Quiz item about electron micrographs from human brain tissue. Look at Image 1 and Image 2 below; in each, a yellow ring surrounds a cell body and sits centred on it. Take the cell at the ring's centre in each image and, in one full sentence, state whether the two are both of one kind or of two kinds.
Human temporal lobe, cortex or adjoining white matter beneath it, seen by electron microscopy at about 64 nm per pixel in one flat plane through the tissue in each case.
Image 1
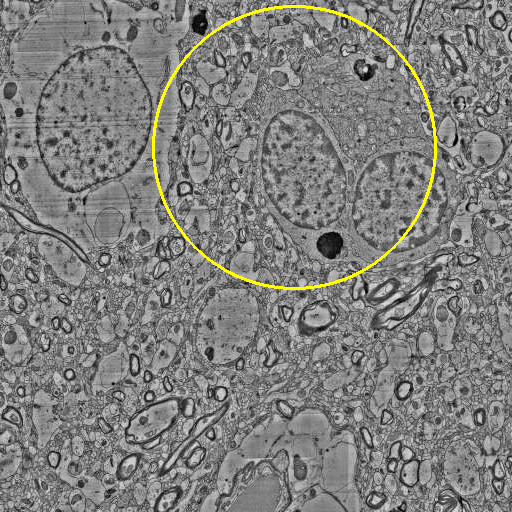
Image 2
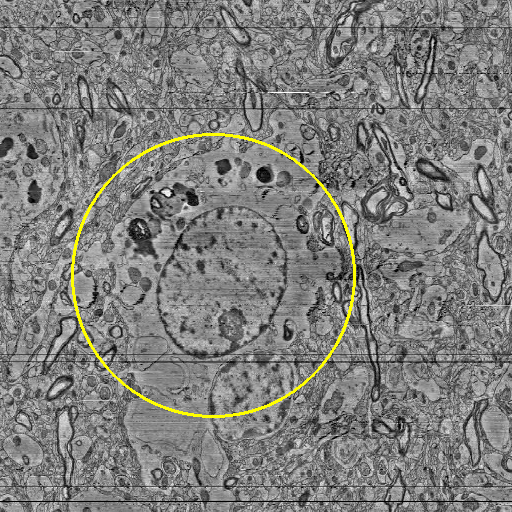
In Image 1 and Image 2, the cells at the ring centres are of two kinds.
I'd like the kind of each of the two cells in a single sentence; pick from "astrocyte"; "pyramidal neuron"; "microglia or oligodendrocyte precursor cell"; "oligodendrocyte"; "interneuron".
The first ring marks an oligodendrocyte, and the second ring marks an astrocyte.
